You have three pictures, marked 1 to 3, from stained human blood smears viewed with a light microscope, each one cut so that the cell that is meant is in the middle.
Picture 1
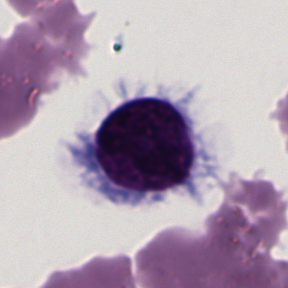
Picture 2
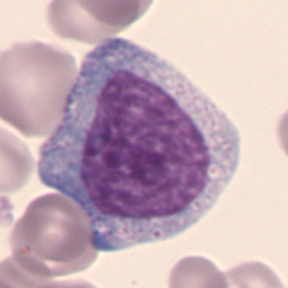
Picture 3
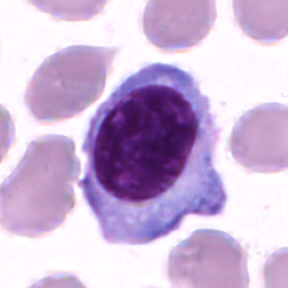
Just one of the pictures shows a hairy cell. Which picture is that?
1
